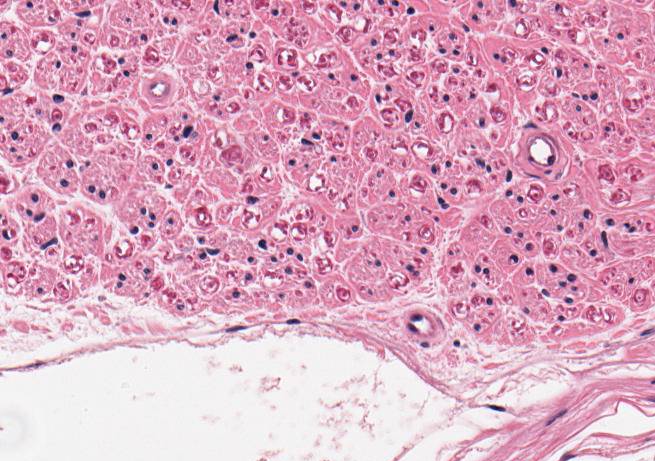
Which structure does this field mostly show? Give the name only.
nerve fascicle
